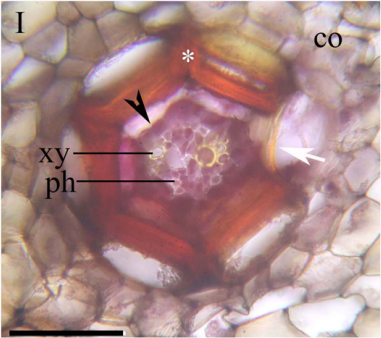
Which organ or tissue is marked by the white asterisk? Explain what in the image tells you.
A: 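Sclerenchyma layer. The asterisk lies in a ring of cells with thick red-brown walls. The ring encloses the central vascular cylinder.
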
